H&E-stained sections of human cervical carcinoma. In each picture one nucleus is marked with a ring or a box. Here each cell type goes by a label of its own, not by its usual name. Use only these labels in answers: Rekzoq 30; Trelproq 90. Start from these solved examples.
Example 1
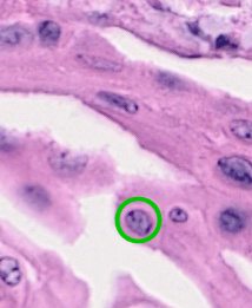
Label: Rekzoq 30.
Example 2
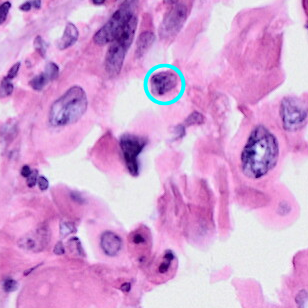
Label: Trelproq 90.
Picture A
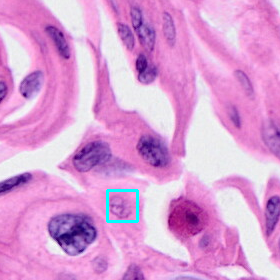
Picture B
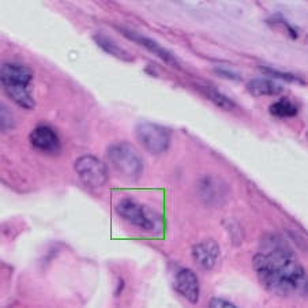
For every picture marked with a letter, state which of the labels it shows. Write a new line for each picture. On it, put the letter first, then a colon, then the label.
A: Rekzoq 30.
B: Rekzoq 30.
